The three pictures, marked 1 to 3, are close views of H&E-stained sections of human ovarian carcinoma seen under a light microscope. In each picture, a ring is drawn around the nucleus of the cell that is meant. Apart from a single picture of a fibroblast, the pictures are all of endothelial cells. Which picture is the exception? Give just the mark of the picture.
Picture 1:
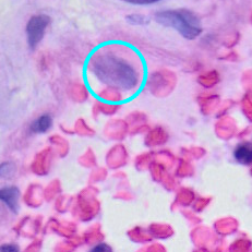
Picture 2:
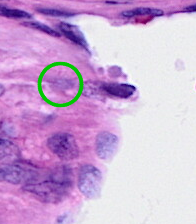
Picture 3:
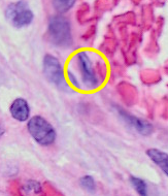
2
